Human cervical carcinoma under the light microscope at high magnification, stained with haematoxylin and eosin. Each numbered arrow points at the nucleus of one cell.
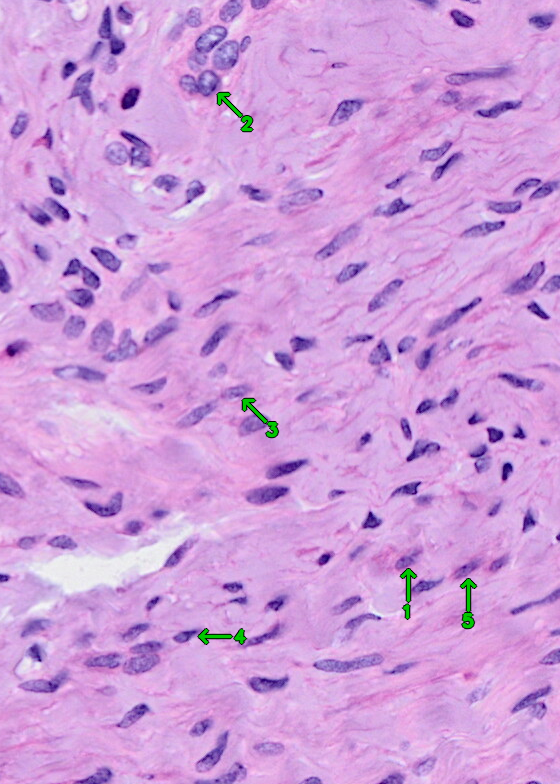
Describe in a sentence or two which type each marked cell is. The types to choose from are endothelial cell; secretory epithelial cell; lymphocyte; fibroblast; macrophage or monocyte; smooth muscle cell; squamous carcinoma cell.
Cell 1 is a smooth muscle cell, cell 2 is an endothelial cell, cell 3 is a smooth muscle cell, cell 4 is a fibroblast and cell 5 is a smooth muscle cell.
